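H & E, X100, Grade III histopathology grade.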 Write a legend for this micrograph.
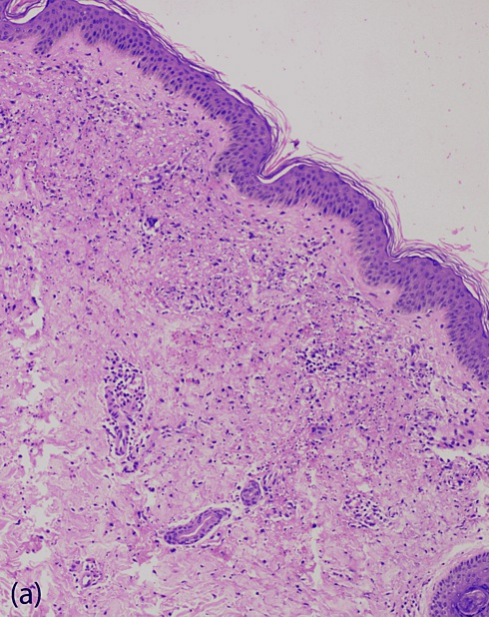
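Skin with a thin epidermis over a dermis crowded with inflammatory cells. Dense clusters of dark inflammatory nuclei gather around and within the walls of superficial and mid-dermal vessels. Scattered dark nuclear debris is spread between the clusters. A hair follicle is cut at the lower right corner.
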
